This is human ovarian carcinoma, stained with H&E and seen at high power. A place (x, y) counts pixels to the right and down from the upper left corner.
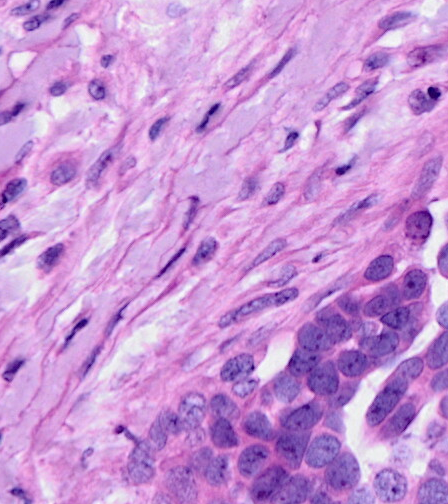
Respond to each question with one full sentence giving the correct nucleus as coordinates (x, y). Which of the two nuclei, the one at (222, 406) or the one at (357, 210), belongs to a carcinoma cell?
Only the nucleus at (222, 406), of the two, belongs to a carcinoma cell.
